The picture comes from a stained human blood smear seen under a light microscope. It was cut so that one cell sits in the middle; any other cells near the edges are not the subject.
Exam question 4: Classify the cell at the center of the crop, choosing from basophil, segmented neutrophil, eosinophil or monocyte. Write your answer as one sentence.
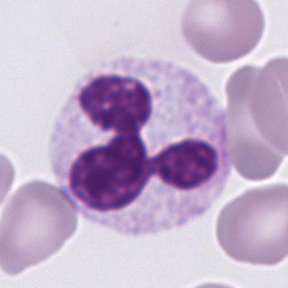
Present in the middle of the crop is a segmented neutrophil.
